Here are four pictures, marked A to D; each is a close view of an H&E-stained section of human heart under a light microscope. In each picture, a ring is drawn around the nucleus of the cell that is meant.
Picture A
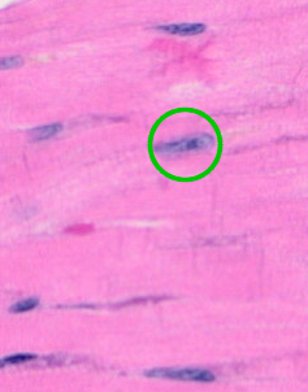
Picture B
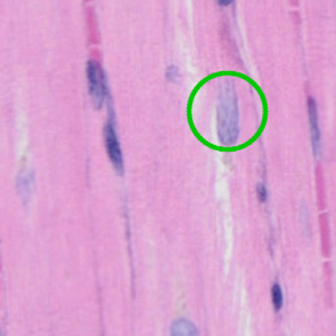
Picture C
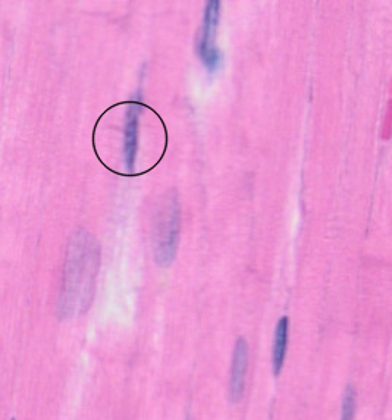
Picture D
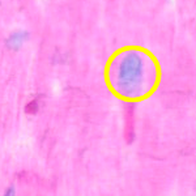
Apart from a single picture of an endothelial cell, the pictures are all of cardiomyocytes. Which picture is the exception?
C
